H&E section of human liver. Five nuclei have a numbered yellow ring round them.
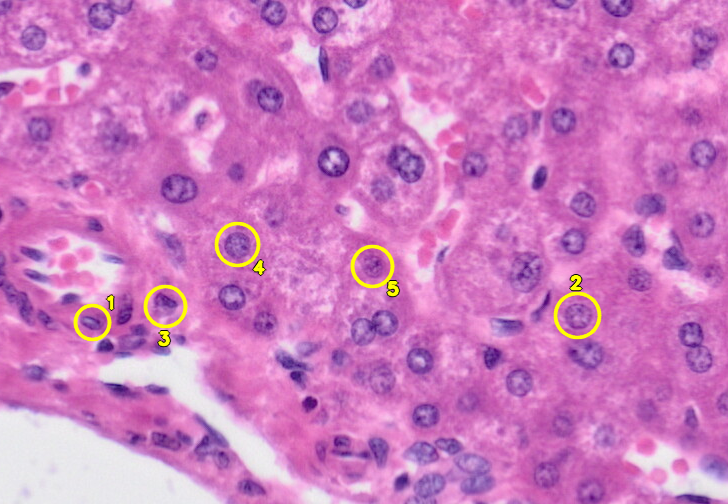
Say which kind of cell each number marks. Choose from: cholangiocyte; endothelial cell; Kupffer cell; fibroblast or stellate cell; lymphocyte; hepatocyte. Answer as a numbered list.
1. fibroblast or stellate cell
2. hepatocyte
3. fibroblast or stellate cell
4. hepatocyte
5. hepatocyte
